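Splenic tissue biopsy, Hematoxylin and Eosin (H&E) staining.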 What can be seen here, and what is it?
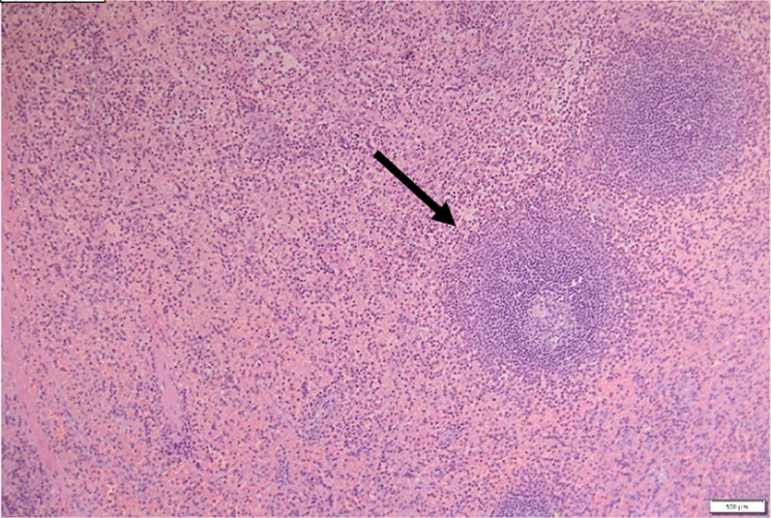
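Spleen tissue with a dense round collection of small, dark-purple lymphocytes packed in concentric layers around a small, paler central vessel. A second similar dense focus of lymphocytes lies in the upper right corner. Between them lies looser tissue with scattered nuclei in a pink background. The dense ring of lymphocytes around the vessel is a perivascular lymphocyte cuff.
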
